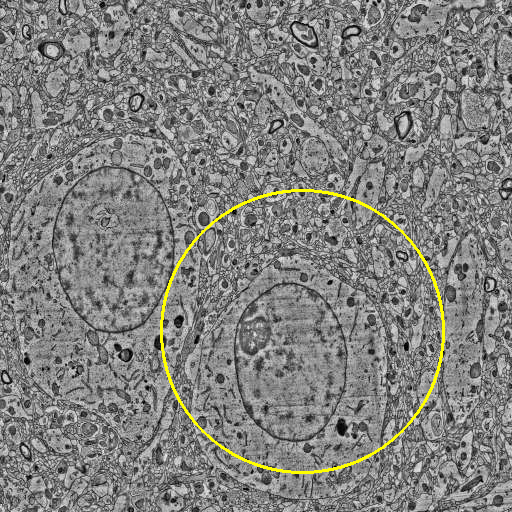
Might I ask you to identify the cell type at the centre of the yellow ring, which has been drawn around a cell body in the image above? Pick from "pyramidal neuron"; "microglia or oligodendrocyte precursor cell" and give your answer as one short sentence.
The centre of the ring falls on a pyramidal neuron.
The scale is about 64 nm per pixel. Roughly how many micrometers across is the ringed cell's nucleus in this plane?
The nucleus appears roughly 10 by 7 micrometres in this plane.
